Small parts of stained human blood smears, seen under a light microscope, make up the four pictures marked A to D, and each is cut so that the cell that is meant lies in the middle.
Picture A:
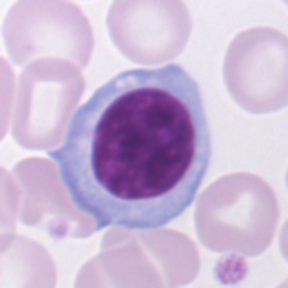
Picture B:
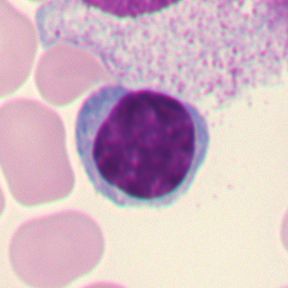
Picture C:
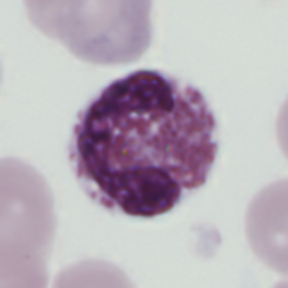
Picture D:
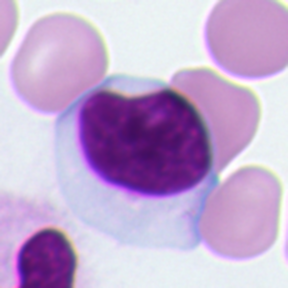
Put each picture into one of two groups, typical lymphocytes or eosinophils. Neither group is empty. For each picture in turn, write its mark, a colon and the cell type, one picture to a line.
A: typical lymphocyte
B: typical lymphocyte
C: eosinophil
D: typical lymphocyte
